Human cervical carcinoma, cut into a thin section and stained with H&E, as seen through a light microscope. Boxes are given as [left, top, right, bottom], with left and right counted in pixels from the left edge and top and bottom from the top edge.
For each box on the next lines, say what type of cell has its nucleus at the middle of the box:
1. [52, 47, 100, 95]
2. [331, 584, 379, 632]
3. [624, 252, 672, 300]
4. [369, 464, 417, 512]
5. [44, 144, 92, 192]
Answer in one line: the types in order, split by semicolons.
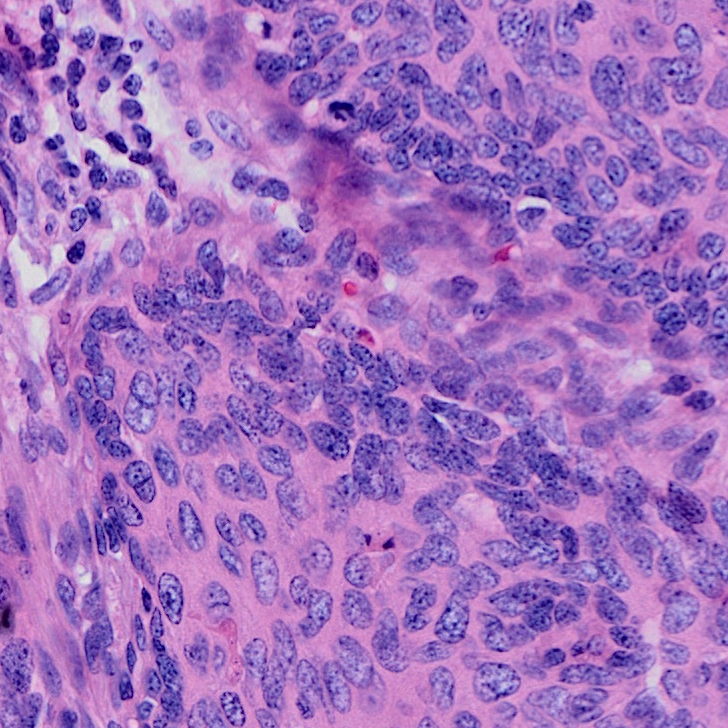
lymphocyte; squamous carcinoma cell; squamous carcinoma cell; squamous carcinoma cell; lymphocyte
